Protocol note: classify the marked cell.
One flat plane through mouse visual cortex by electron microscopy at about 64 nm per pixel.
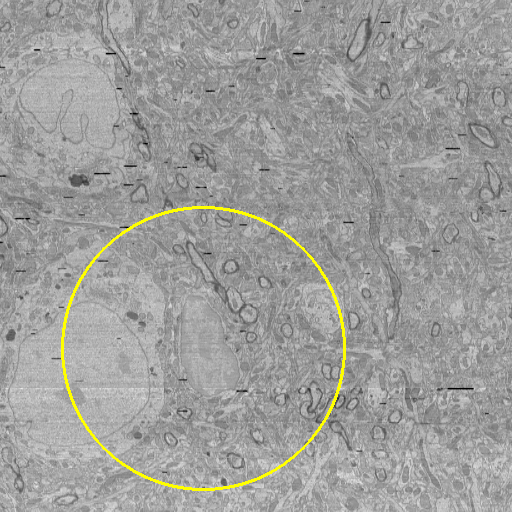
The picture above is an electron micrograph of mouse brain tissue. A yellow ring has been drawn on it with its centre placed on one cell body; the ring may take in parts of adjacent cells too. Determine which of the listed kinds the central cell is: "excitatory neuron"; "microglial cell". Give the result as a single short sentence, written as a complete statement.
The central cell is a microglial cell.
